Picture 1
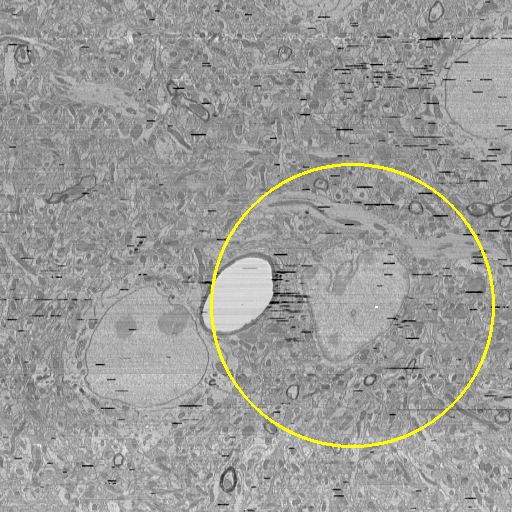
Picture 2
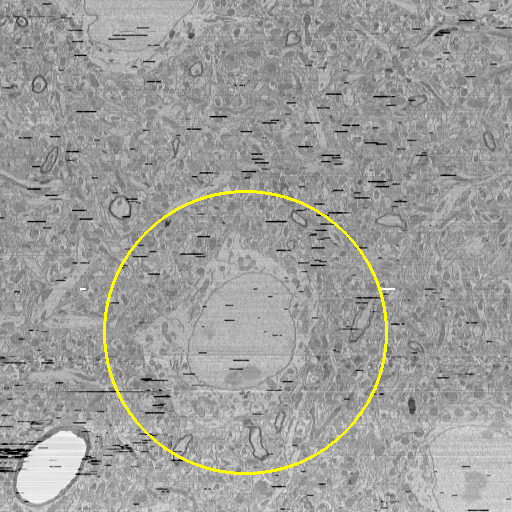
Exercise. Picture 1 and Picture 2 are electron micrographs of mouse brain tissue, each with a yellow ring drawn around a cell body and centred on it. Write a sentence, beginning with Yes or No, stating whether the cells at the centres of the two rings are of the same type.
No, the cells at the centres of the rings are of two types.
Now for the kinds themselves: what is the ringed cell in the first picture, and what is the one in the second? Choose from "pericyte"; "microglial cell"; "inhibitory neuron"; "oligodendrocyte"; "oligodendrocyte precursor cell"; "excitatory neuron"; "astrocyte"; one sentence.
Here the first cell is an astrocyte and the second cell is an excitatory neuron.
